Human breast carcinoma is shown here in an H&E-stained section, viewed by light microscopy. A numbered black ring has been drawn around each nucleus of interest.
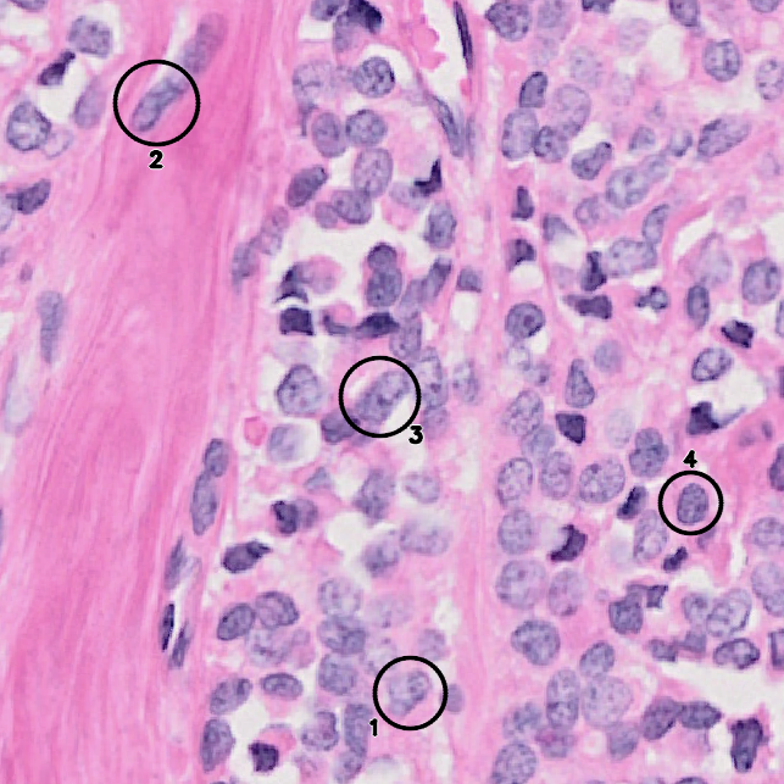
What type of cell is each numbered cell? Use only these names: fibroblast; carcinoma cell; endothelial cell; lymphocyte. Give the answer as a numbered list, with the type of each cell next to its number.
1. carcinoma cell
2. fibroblast
3. carcinoma cell
4. carcinoma cell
